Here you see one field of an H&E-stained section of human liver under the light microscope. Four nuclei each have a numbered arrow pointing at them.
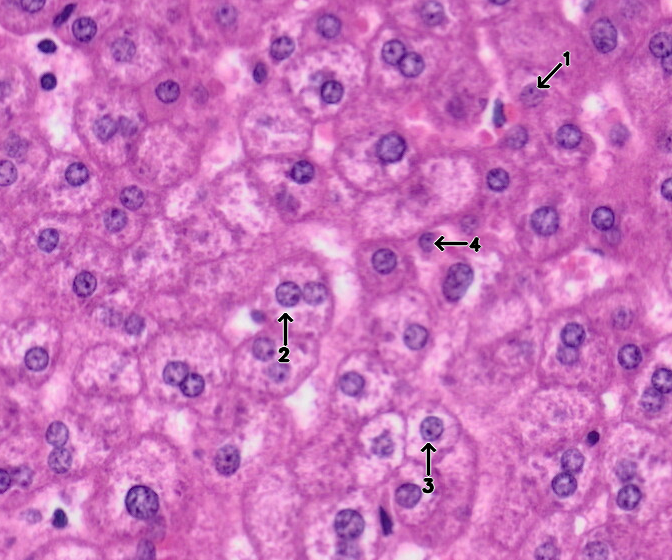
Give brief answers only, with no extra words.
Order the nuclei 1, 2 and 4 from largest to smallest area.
2, 1, 4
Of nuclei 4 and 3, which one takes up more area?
3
